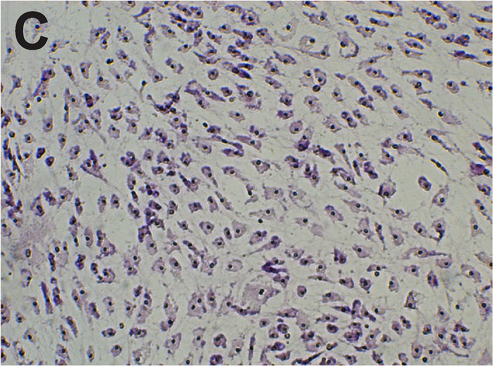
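Cultured cells are spread singly over a pale background, many of them with a rather polygonal shape, several corners and a few short thin processes instead of a long spindle form. Each has one roundish nucleus stained dark blue-purple, set in a lightly pinkish-violet cytoplasm. The cells are loosely spaced with irregular gaps between them.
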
